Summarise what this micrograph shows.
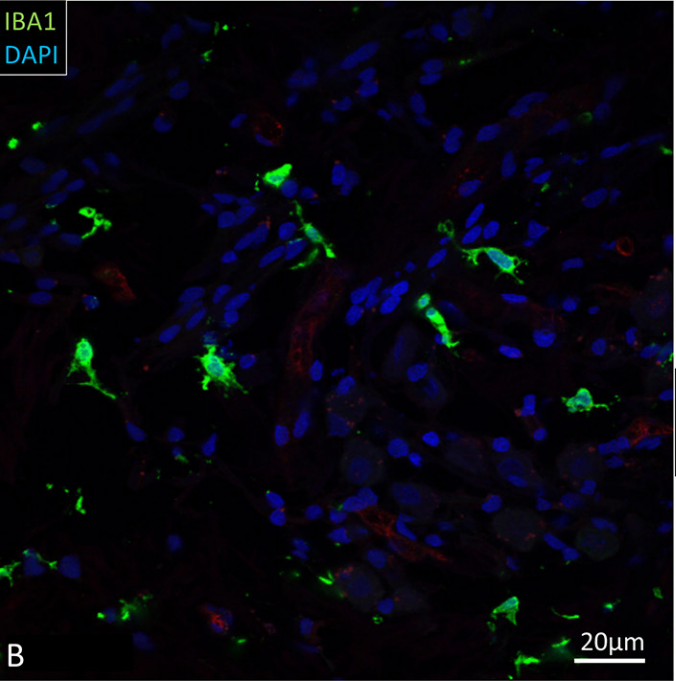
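The macrophages show green cell bodies from which a few short, branching processes extend in different directions. They lie singly and well apart from one another. Around them are many blue, mostly oval or elongated nuclei of other cells that carry no green label. Some larger, faint rounded profiles in the background may belong to ganglion cell bodies.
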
